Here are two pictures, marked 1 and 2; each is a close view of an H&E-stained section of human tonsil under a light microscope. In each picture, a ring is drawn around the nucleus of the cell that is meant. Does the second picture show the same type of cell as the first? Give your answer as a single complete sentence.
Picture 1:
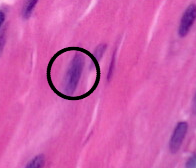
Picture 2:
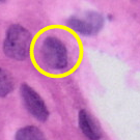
No. Picture 1 shows an endothelial cell, but picture 2 shows a squamous epithelial cell.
